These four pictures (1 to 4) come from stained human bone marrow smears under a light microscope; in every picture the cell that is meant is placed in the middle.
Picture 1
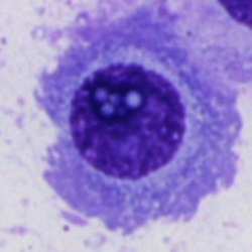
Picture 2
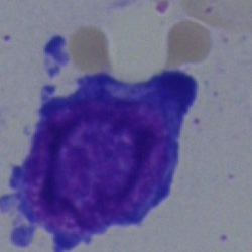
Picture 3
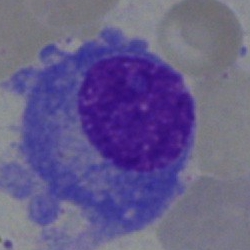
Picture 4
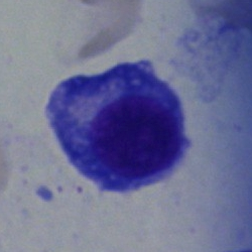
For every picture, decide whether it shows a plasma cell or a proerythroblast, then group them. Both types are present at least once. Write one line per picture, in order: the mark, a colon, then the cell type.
1: plasma cell
2: proerythroblast
3: plasma cell
4: plasma cell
